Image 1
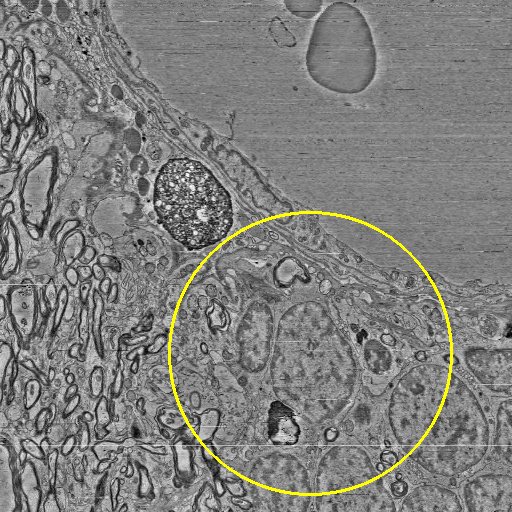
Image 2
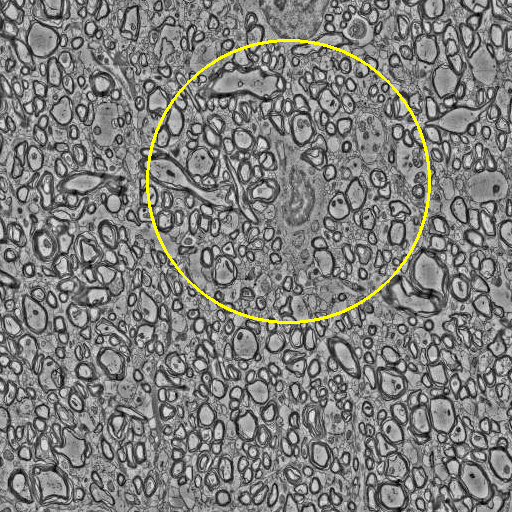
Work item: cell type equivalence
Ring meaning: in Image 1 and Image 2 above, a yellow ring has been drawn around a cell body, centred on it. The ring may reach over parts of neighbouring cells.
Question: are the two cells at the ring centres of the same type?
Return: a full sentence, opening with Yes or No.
Yes, the two centred cells are of the same type.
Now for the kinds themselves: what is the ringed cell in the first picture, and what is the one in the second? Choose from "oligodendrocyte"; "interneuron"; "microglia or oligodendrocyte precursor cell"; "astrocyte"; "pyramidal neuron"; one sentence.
Each of the two cells is an oligodendrocyte.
